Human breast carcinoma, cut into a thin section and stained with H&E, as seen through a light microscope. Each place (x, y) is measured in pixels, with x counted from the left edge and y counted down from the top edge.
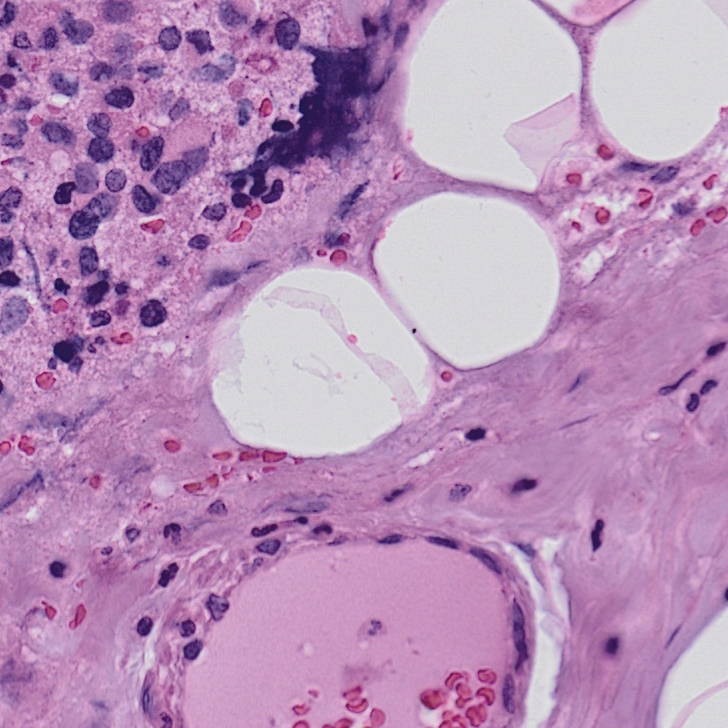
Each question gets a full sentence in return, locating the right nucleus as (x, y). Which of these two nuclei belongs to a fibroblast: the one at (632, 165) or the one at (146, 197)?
Located at (632, 165), this nucleus is the one belonging to a fibroblast.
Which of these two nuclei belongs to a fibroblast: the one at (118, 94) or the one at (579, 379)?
The nucleus at (579, 379) is contained in a fibroblast.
